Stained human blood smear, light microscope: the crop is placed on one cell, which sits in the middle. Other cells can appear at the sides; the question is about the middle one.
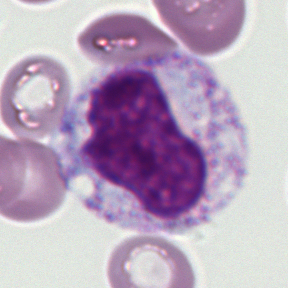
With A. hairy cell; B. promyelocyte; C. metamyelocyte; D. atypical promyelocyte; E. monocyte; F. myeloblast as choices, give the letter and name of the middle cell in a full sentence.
The cell at the centre is a metamyelocyte, and option C accordingly is correct.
